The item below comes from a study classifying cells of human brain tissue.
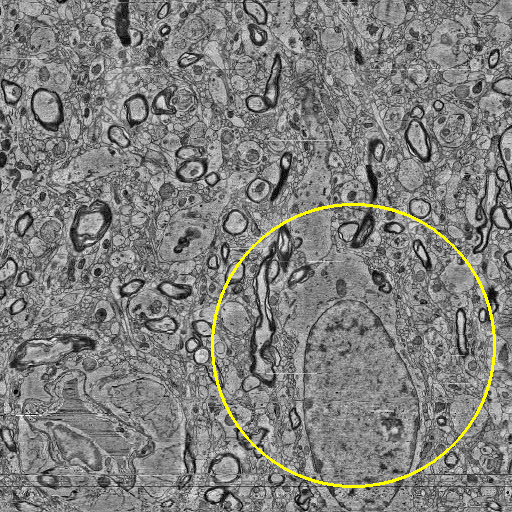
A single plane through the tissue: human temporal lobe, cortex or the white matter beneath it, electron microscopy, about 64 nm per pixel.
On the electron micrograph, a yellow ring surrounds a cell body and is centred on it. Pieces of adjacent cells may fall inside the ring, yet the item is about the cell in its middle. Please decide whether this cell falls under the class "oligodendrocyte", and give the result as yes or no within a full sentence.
No, the cell at the middle of the ring on the micrograph is of another kind.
